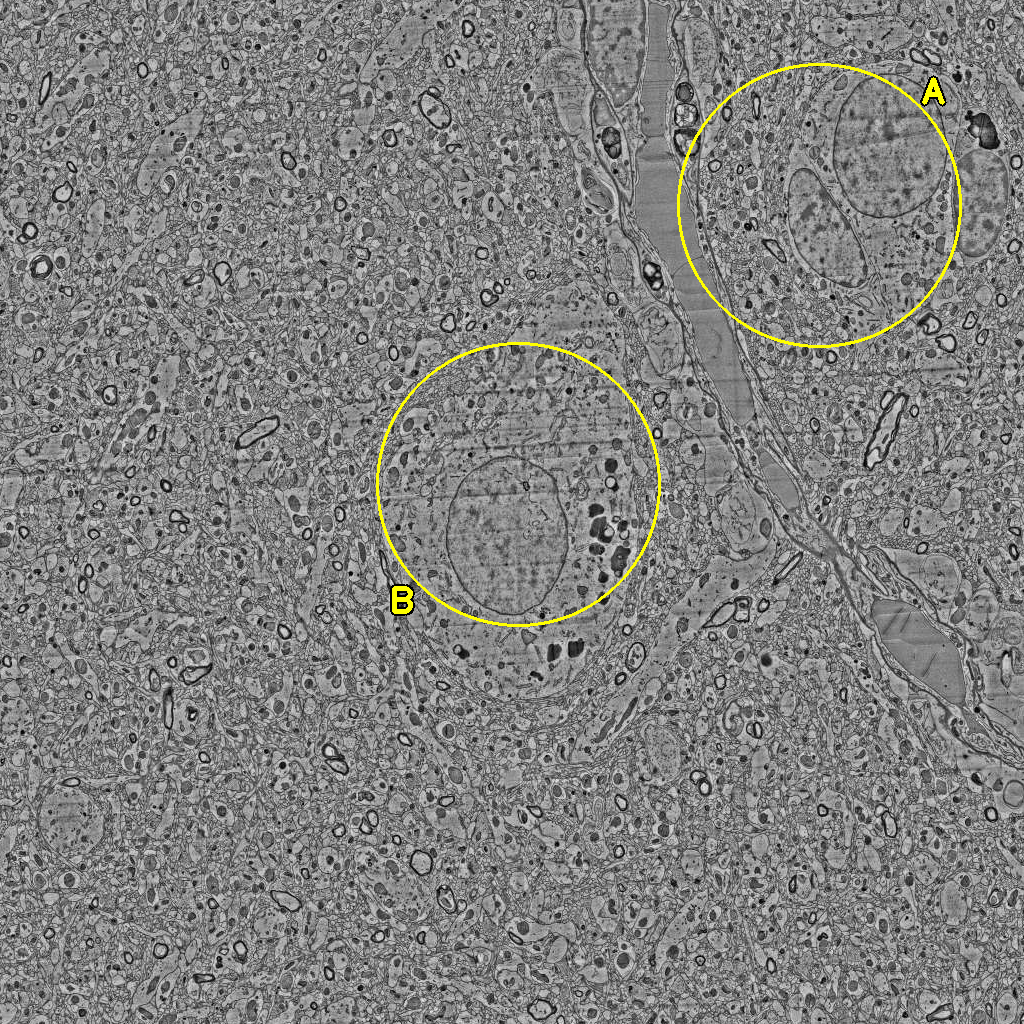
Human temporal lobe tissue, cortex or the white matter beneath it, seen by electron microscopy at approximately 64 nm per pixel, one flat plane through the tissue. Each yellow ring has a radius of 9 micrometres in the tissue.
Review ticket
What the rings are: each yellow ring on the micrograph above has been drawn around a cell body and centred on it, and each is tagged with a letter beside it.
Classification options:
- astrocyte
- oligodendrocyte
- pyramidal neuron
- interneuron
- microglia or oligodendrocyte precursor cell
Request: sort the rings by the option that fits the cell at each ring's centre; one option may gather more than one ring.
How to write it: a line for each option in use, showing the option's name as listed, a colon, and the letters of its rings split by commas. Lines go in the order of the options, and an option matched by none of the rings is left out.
pyramidal neuron: B
microglia or oligodendrocyte precursor cell: A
